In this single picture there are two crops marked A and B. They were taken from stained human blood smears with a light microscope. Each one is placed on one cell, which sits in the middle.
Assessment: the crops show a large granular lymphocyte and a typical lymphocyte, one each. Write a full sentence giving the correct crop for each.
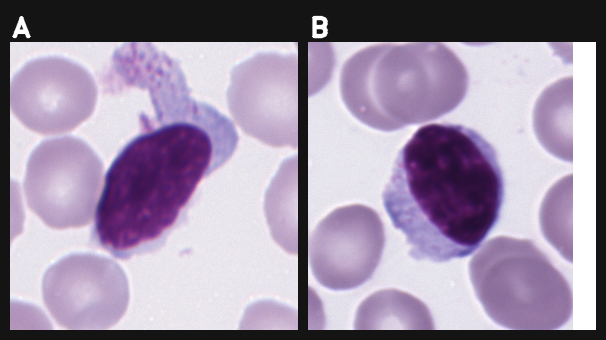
As for crop A, it is a large granular lymphocyte; crop B, by contrast, is a typical lymphocyte.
